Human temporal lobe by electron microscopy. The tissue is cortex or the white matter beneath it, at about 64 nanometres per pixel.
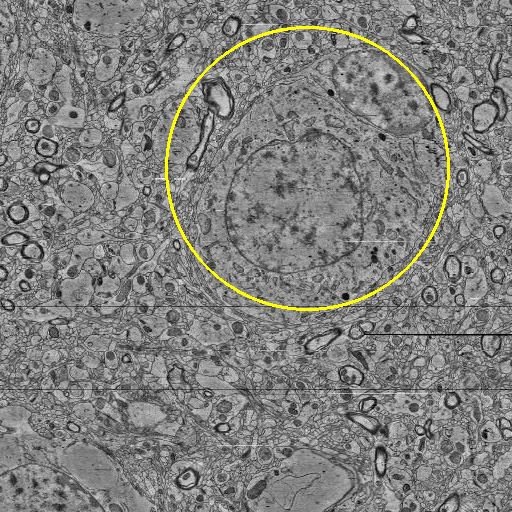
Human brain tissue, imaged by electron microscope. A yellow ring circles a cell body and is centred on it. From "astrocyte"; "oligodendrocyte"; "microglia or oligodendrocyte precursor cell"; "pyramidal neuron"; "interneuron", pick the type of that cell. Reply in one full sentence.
The cell body at the centre of the yellow ring belongs to a pyramidal neuron.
